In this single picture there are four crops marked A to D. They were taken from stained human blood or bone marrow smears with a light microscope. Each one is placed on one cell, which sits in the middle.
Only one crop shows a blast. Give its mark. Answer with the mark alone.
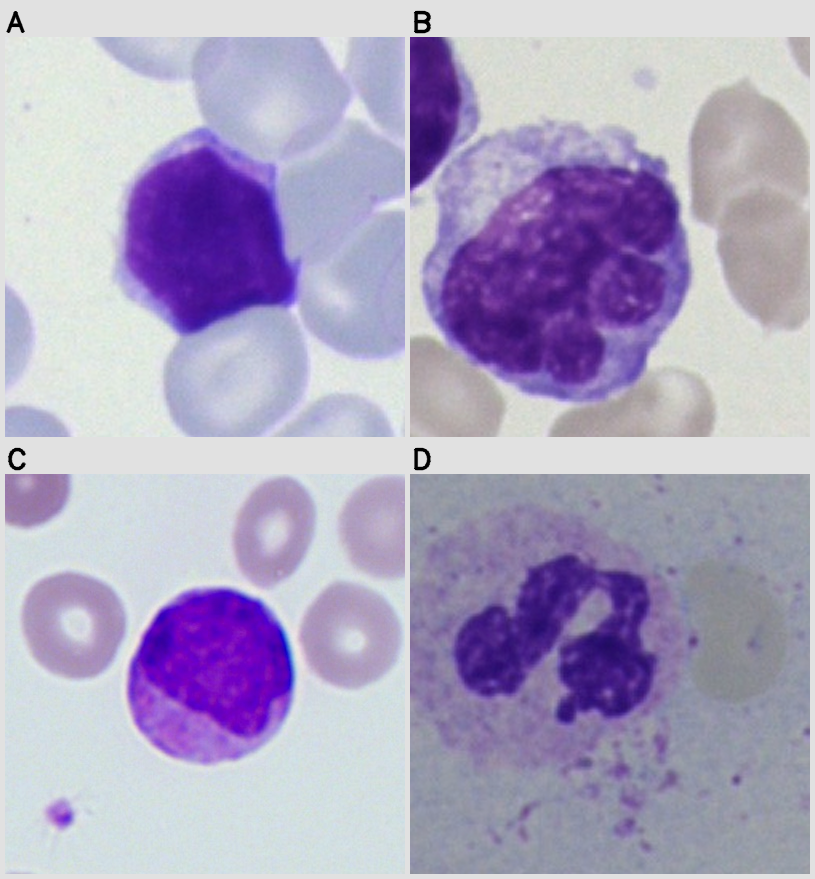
C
